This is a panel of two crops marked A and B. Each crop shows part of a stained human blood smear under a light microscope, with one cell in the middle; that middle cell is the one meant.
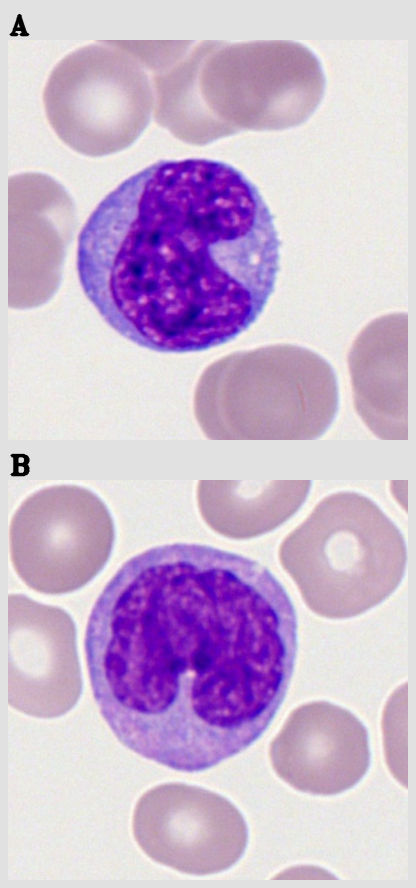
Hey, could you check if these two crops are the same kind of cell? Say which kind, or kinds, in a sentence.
Yes, the cells in both crops are monocytes.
